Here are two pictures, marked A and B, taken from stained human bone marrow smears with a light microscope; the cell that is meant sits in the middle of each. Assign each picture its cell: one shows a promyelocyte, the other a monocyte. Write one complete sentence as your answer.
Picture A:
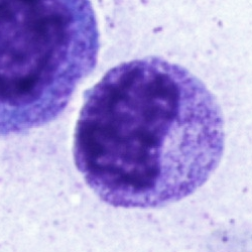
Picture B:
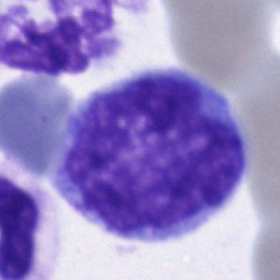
Picture B shows a monocyte, while picture A shows a promyelocyte.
